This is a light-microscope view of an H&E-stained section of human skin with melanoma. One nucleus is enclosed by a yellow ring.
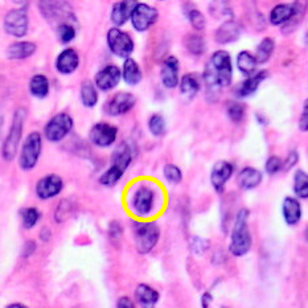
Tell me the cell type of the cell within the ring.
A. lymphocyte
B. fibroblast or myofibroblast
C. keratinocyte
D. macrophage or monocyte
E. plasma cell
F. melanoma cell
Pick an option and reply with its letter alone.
A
